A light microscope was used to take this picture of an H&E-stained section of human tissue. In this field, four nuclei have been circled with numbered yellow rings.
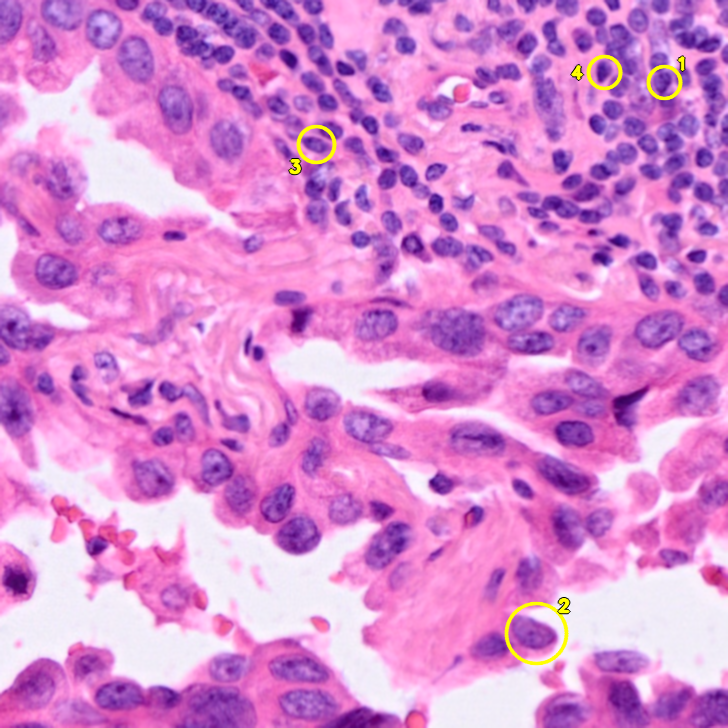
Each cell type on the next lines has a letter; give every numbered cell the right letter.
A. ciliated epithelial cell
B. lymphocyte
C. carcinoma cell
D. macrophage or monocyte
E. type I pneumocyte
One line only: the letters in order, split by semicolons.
B; C; B; B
